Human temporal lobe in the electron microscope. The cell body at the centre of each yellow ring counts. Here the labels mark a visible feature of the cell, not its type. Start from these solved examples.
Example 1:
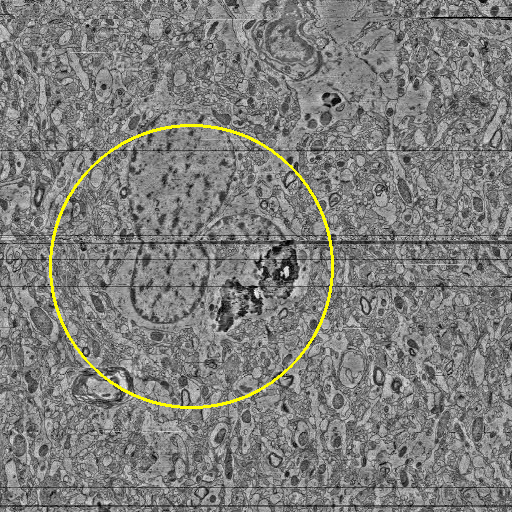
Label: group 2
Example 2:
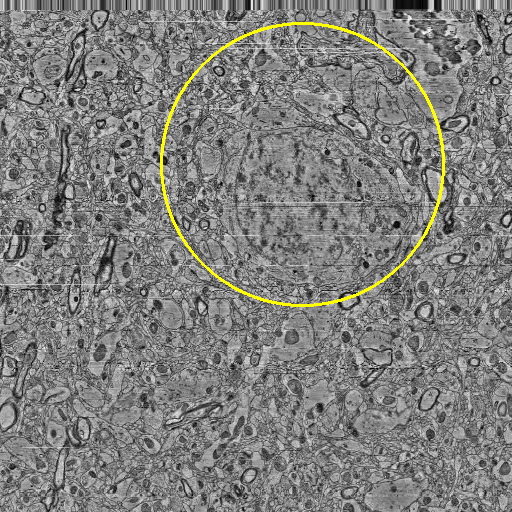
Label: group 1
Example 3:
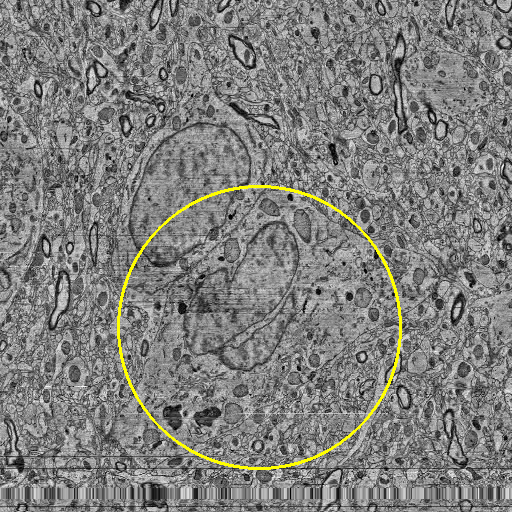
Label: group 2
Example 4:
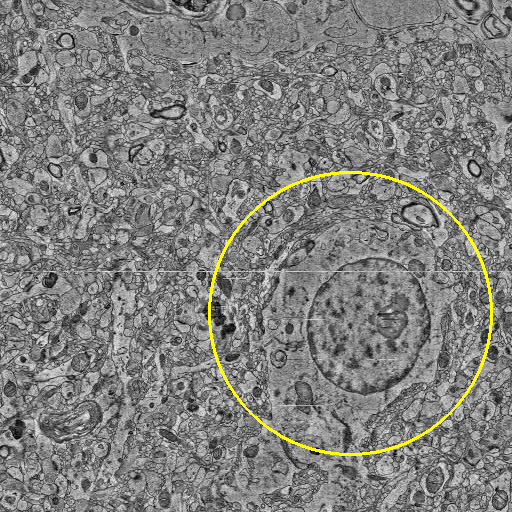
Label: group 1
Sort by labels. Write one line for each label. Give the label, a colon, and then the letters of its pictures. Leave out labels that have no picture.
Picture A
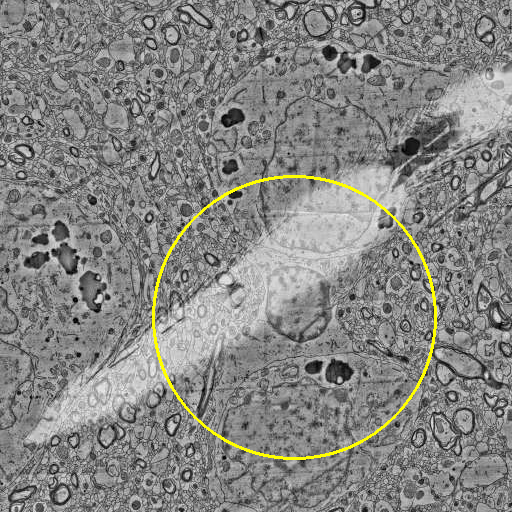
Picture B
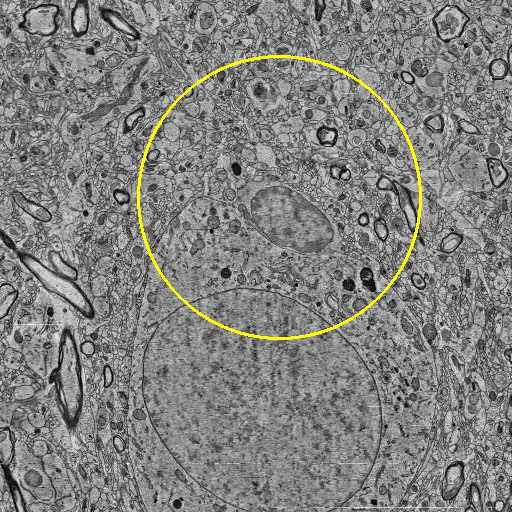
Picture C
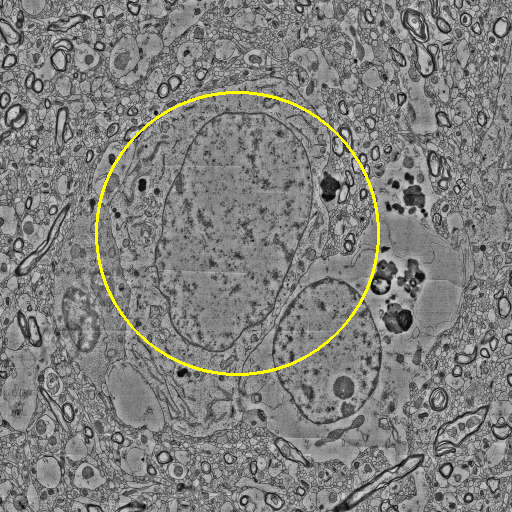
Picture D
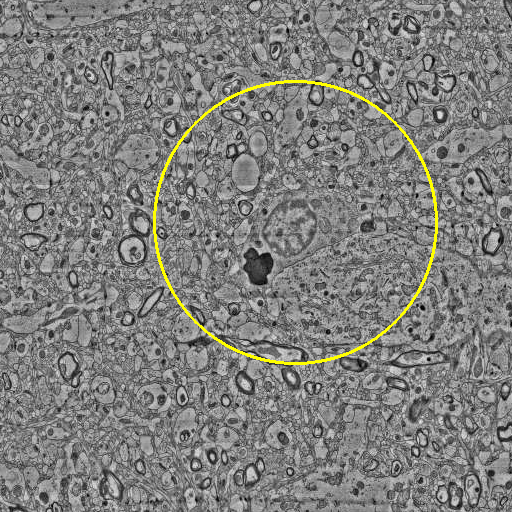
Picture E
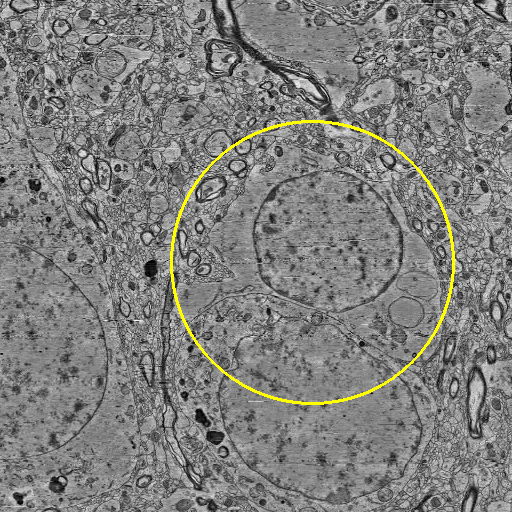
group 2: B, C
group 1: A, D, E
